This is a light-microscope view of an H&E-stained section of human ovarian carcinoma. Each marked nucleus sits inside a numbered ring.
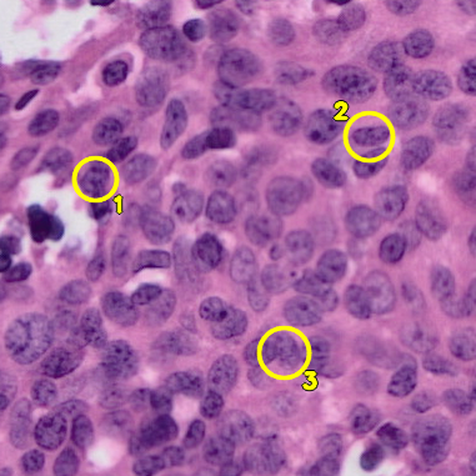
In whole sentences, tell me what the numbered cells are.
Cell 1 is a carcinoma cell, cell 2 is a macrophage or monocyte and cell 3 is a carcinoma cell.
